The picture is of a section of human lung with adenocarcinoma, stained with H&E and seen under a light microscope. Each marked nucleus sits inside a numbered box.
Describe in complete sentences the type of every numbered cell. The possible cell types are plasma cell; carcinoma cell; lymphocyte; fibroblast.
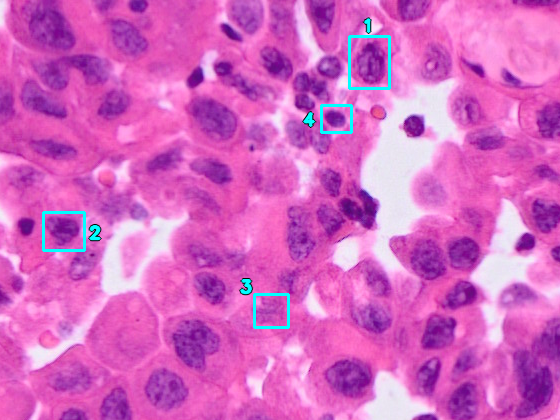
Cells 1, 2 and 3 are carcinoma cells. Cell 4 is a lymphocyte.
